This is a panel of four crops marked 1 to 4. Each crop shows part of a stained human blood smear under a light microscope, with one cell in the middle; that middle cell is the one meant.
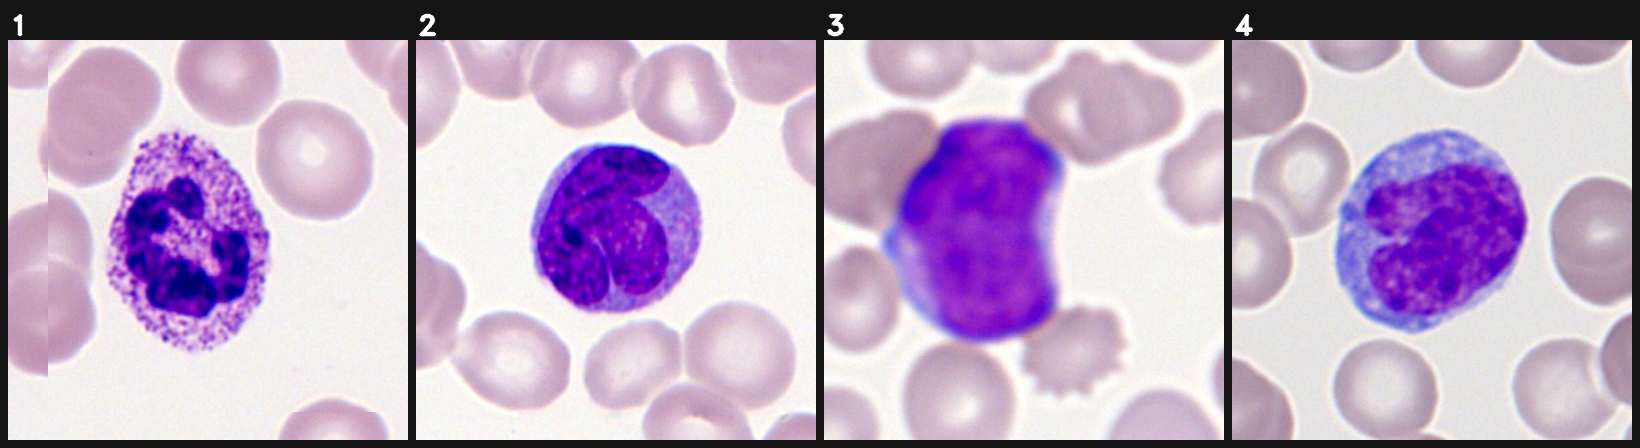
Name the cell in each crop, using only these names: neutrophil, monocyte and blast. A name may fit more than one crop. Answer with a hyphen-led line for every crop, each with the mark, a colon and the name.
- 1: neutrophil
- 2: monocyte
- 3: blast
- 4: monocyte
